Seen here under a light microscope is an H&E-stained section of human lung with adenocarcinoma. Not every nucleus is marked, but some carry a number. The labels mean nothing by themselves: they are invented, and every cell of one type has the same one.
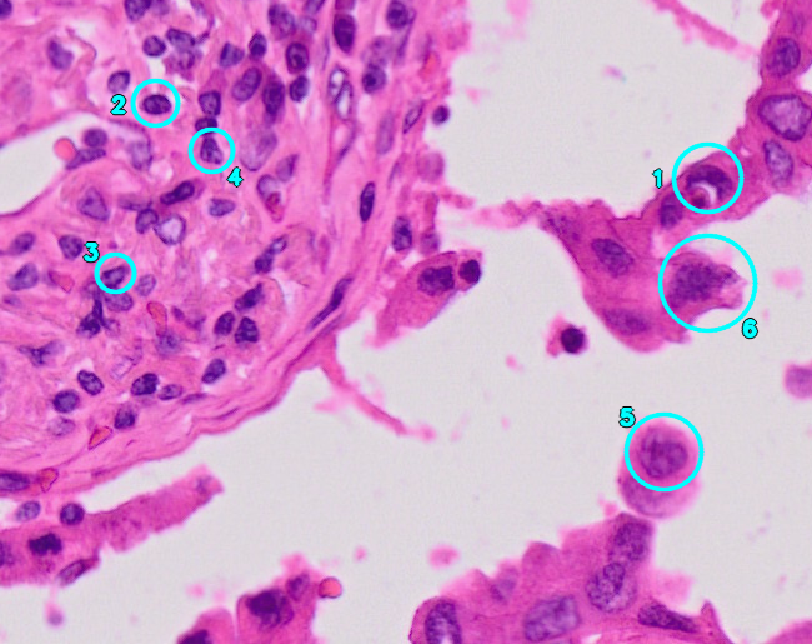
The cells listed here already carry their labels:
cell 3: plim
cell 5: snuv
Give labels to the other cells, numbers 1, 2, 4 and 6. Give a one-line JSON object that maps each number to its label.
{"1": "snuv", "2": "plim", "4": "plim", "6": "snuv"}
